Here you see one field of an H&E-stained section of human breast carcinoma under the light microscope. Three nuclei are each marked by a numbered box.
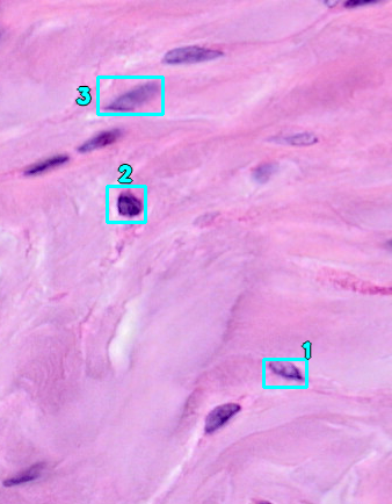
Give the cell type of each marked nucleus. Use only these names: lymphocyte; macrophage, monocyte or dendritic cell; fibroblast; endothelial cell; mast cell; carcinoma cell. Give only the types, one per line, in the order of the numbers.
fibroblast
lymphocyte
fibroblast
